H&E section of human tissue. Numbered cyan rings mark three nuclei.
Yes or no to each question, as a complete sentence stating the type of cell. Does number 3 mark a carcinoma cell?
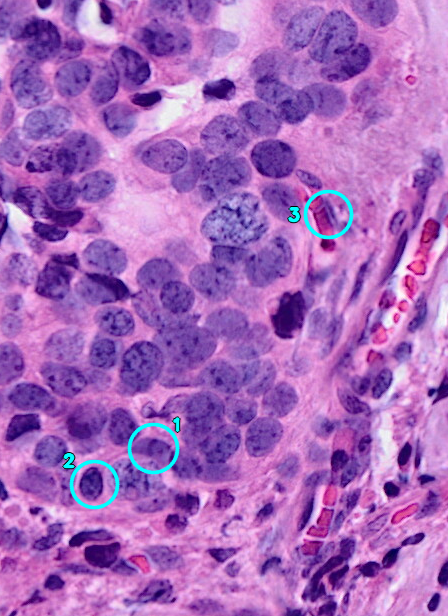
No, an endothelial cell, not a carcinoma cell, is the cell with number 3.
